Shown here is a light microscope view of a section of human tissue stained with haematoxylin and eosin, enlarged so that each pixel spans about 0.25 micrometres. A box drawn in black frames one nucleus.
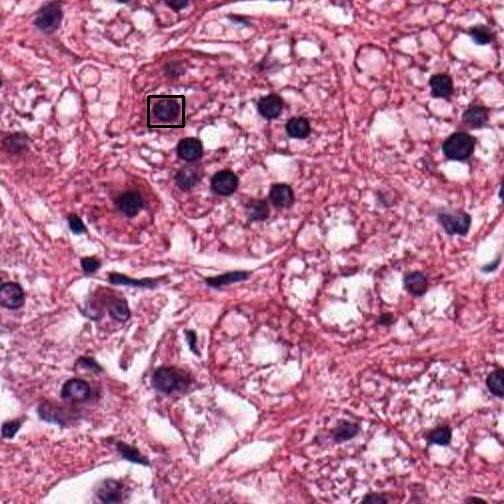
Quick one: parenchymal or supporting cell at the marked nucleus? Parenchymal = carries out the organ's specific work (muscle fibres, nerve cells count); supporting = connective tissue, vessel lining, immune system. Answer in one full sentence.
It is to an adrenal cortical cell, a parenchymal cell, that the marked nucleus belongs.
